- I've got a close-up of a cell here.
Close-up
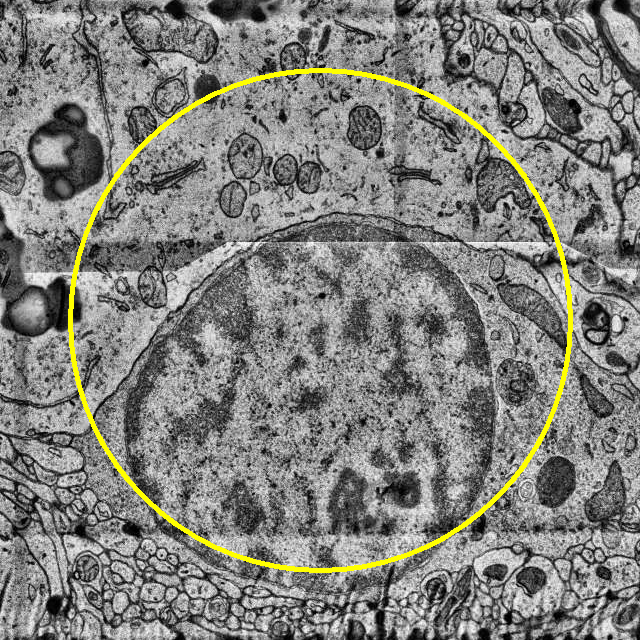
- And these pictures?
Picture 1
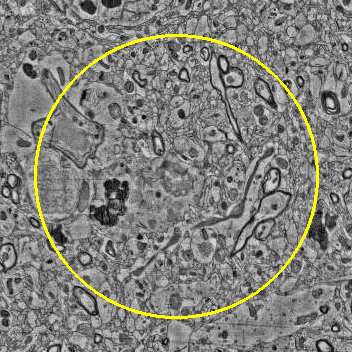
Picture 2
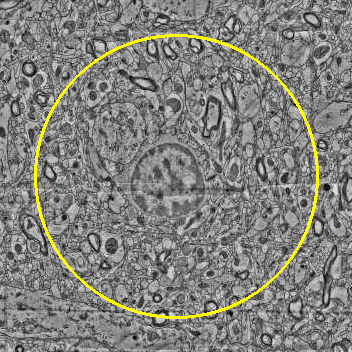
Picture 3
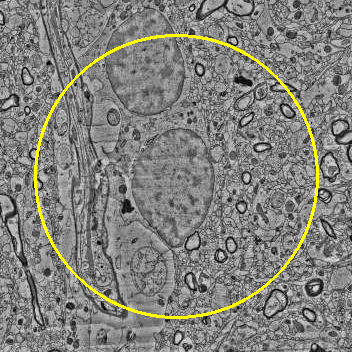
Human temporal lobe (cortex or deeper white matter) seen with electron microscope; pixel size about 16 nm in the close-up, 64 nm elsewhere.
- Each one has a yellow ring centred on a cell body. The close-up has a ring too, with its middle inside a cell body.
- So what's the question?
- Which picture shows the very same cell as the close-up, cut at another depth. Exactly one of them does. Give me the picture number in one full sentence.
The close-up shows a cell, and that cell is ringed in Picture 2.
